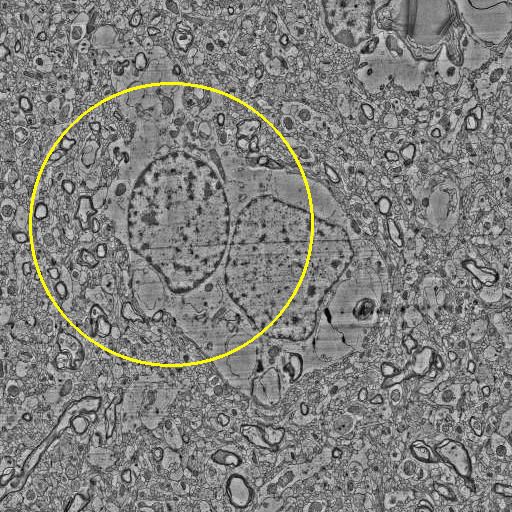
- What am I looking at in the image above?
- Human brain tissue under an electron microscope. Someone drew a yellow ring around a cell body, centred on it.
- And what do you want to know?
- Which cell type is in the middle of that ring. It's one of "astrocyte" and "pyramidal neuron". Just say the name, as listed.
astrocyte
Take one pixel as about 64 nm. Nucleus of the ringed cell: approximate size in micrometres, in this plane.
The nucleus of the ringed cell is approximately 9 by 7 micrometres in this plane.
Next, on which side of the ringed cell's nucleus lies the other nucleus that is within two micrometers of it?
That other nucleus appears to the right of it.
